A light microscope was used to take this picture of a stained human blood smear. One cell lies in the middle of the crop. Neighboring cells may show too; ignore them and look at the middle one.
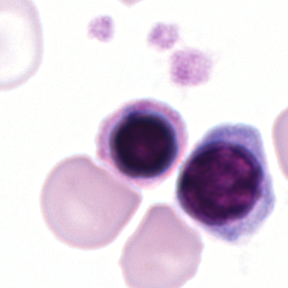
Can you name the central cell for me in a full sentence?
Seen at the centre of the crop is an erythroblast.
